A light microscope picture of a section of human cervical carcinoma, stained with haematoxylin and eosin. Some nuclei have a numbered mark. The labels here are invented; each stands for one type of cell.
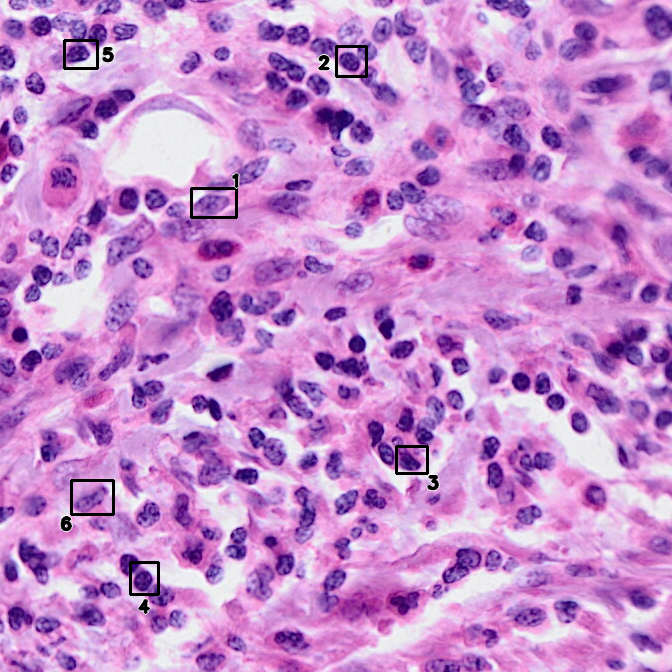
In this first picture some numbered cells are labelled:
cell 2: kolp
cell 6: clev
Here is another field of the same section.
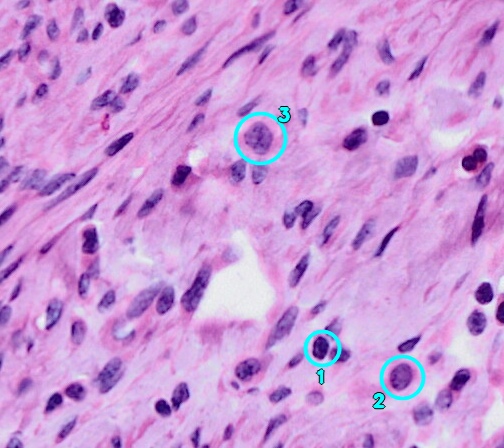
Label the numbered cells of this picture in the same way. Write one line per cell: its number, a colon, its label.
1: kolp
2: clev
3: clev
